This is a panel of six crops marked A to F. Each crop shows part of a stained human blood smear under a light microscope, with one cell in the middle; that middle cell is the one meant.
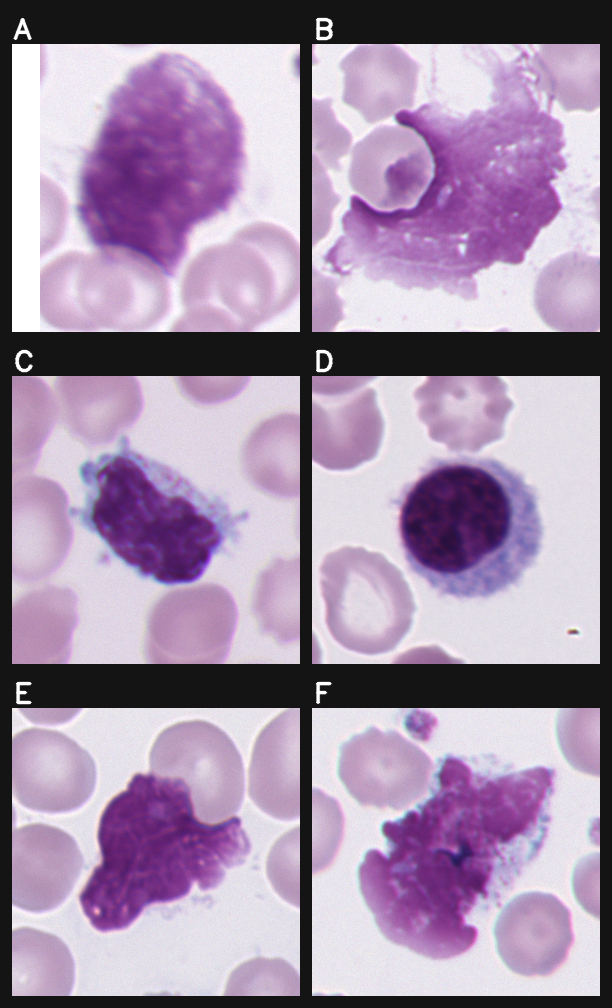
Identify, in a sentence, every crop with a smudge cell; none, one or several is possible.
In crops A, B, E and F, the centrally located cells represent smudge cells.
